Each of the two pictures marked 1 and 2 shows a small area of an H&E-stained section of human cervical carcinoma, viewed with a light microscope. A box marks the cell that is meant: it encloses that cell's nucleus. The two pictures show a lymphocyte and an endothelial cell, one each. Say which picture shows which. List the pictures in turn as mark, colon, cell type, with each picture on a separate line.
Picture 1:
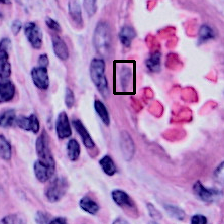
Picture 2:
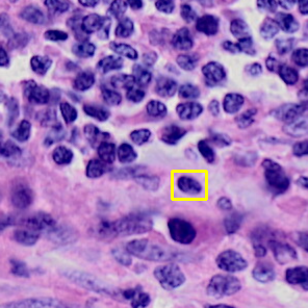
1: endothelial cell
2: lymphocyte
